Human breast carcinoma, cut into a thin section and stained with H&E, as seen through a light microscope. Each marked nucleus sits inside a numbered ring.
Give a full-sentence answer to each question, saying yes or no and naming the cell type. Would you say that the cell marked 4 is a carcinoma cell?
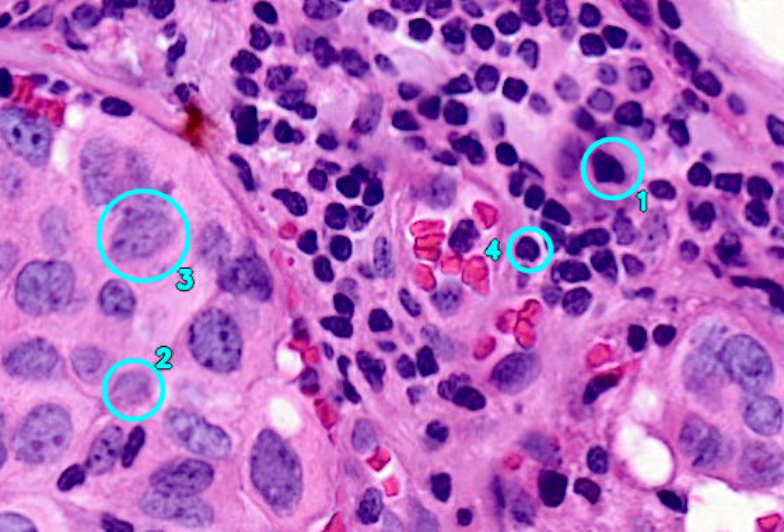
No, the cell that carries number 4 is a lymphocyte, not a carcinoma cell.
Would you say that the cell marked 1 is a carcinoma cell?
No, cell 1 is classified as a lymphocyte rather than a carcinoma cell.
